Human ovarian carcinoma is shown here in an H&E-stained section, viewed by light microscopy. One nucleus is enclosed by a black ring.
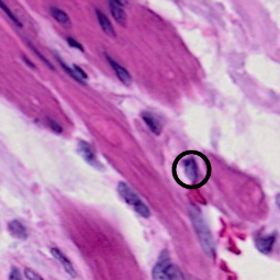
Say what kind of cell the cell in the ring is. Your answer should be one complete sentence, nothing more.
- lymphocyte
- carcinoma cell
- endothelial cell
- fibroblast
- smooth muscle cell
The identity of the cell in the ring is that of an endothelial cell.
